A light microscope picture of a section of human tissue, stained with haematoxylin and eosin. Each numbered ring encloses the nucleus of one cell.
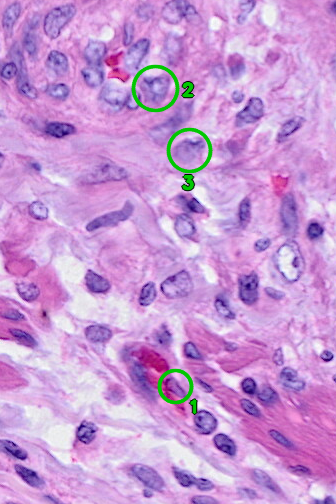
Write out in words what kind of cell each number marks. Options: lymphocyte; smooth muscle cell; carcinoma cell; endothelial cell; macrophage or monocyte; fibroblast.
Cell 1 is an endothelial cell, cell 2 is an endothelial cell and cell 3 is a fibroblast.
